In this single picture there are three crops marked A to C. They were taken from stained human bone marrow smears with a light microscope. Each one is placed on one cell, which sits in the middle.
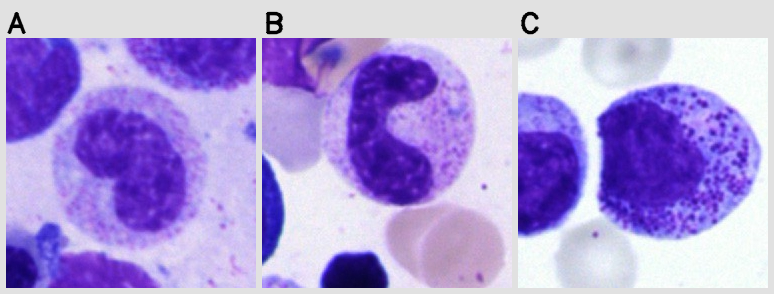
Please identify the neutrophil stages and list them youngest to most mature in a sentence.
The ordering by maturity, least to greatest, is crop C (a myelocyte), crop A (a metamyelocyte) and crop B (a band neutrophil).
